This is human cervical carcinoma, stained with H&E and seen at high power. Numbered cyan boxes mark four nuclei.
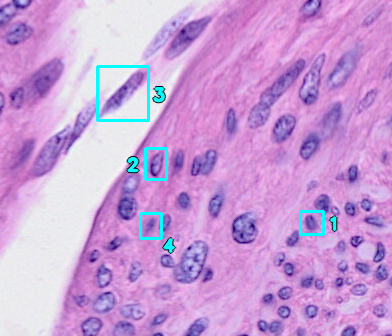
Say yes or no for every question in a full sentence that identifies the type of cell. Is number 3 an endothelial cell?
Yes, the cell identified by number 3 is an endothelial cell.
